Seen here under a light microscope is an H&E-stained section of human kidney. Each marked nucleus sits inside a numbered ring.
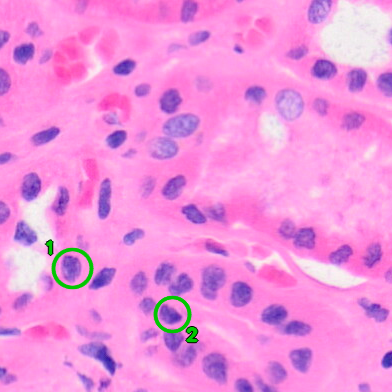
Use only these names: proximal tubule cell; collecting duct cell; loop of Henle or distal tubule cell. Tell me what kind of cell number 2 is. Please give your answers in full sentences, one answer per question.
In this section, number 2 marks a collecting duct cell.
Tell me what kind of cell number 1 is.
Number 1 among the marked cells is a loop of Henle or distal tubule cell.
